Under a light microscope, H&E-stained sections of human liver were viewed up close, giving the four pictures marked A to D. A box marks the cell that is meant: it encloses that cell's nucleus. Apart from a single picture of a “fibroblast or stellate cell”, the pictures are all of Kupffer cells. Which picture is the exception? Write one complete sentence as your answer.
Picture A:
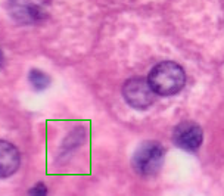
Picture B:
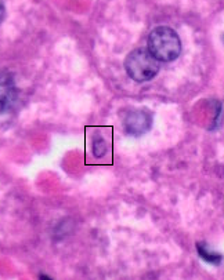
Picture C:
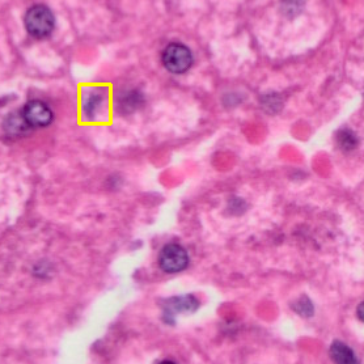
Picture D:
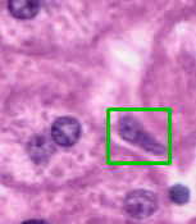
Picture C is the one that shows the “fibroblast or stellate cell”.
